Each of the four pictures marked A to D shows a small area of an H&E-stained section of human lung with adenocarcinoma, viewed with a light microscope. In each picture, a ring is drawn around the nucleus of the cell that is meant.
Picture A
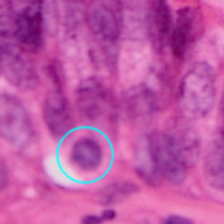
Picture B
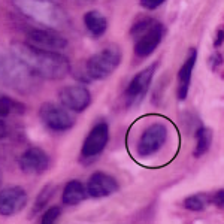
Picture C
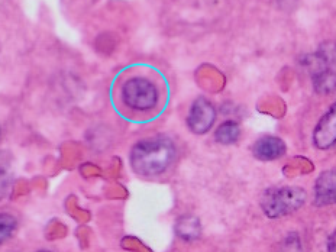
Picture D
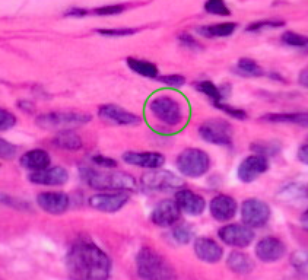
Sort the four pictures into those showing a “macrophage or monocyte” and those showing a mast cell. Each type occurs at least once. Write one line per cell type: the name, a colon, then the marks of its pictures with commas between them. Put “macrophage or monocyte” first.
macrophage or monocyte: C
mast cell: A, B, D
